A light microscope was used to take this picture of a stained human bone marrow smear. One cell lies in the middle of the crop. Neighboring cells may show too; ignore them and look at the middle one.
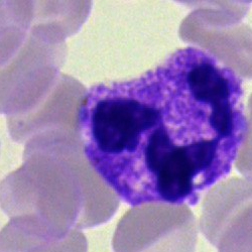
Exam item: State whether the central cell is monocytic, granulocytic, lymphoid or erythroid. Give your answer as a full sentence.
The middle cell of the crop belongs with the cells of the granulocytic lineage.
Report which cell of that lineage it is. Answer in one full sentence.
The centered cell in this crop is a segmented neutrophil.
